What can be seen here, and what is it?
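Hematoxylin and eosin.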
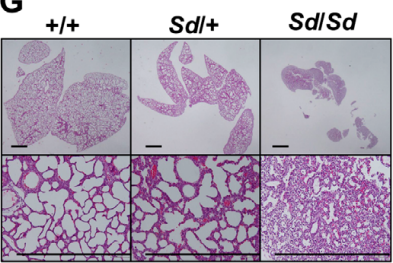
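These are lung sections stained pink and purple, shown at low power above and higher power below. In the left and middle columns the lung is full of wide, open air spaces separated by thin pink walls. In the right column the lobes are small and the tissue is dense and crowded with purple nuclei, with hardly any open spaces: the lung has stayed collapsed.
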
